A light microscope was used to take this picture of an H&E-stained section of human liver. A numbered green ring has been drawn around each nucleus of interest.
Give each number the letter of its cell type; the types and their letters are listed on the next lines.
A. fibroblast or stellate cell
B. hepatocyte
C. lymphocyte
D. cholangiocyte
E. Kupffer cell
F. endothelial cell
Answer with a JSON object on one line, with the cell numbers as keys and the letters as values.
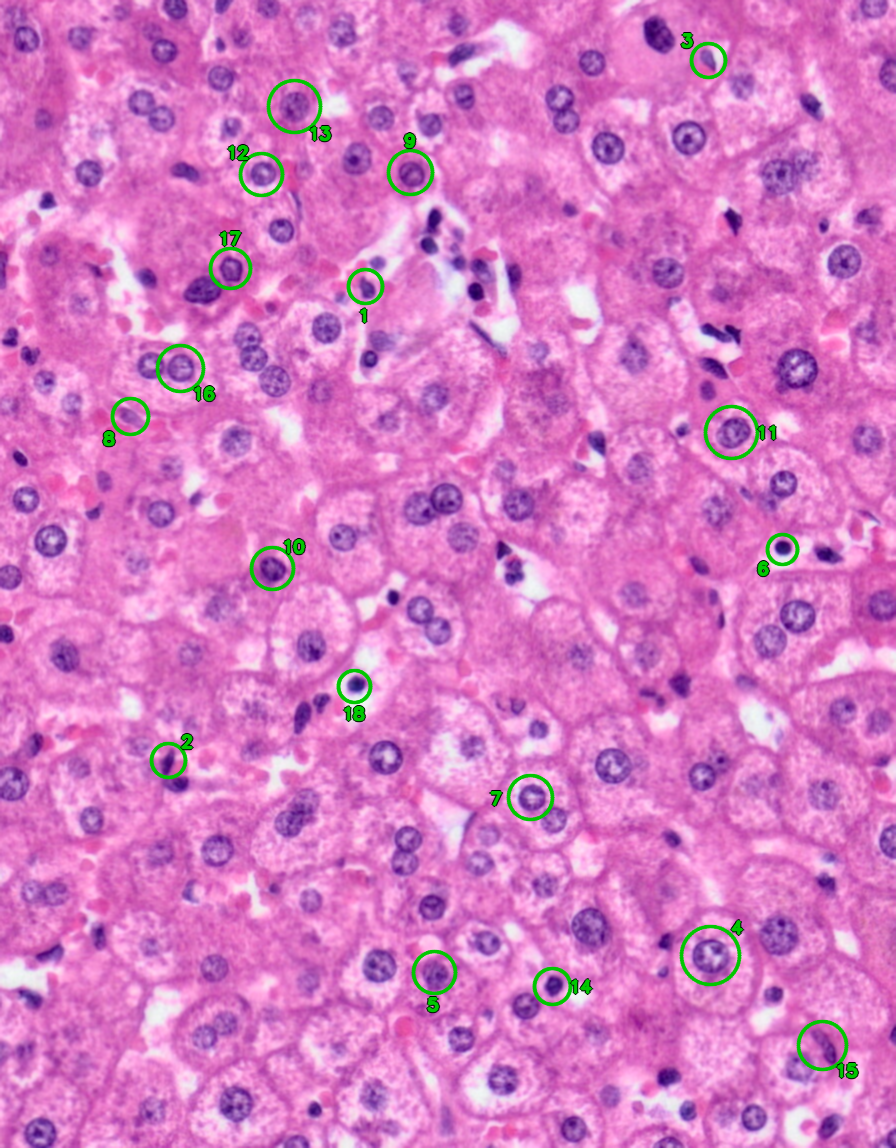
{"1": "C", "2": "A", "3": "F", "4": "B", "5": "B", "6": "C", "7": "B", "8": "E", "9": "B", "10": "B", "11": "B", "12": "B", "13": "B", "14": "C", "15": "E", "16": "B", "17": "B", "18": "C"}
